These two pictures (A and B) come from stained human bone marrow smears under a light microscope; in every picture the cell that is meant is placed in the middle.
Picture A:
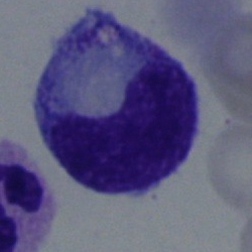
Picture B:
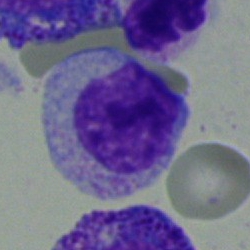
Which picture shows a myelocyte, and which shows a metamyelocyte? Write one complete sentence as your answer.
In picture A the cell is a metamyelocyte; in picture B, a myelocyte.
